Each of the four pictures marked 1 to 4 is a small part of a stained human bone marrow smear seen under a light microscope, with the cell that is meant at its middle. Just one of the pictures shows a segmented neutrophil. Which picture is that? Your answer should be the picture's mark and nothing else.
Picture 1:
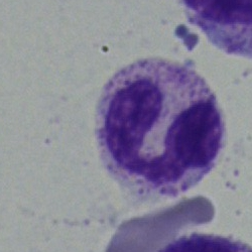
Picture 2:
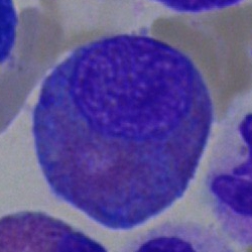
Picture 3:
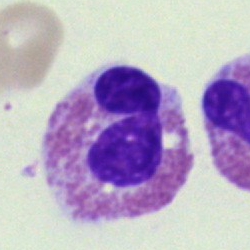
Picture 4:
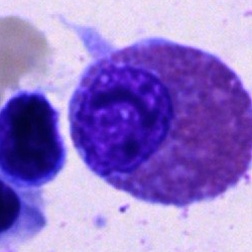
1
